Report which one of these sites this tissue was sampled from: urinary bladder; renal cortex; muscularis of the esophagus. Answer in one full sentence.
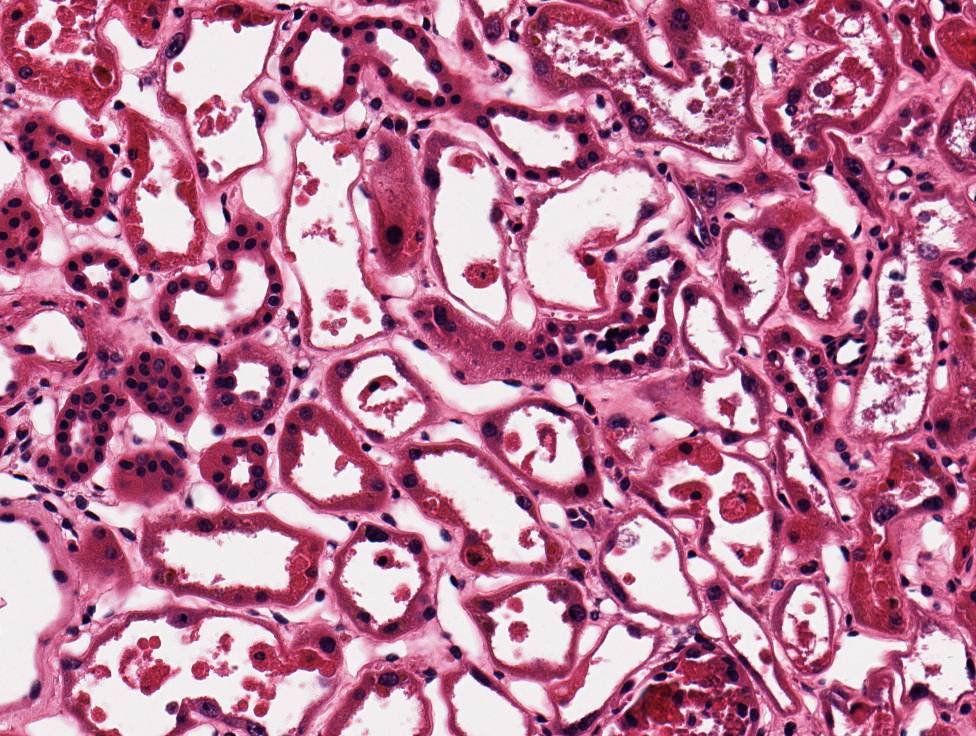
This section represents tissue sampled from the renal cortex.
